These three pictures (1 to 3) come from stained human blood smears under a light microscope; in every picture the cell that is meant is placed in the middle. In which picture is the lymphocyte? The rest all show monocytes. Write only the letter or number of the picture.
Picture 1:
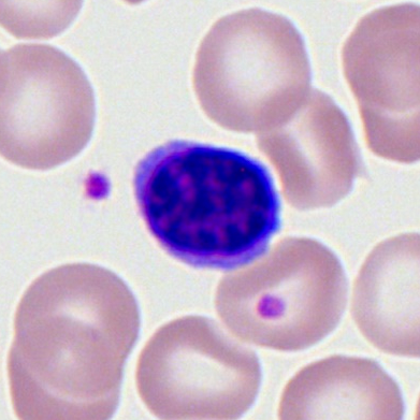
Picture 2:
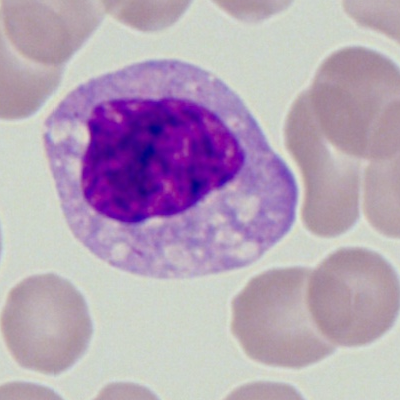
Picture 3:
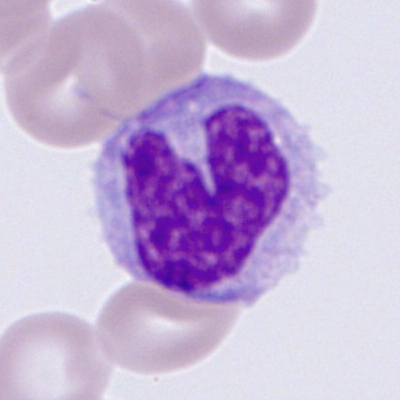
1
